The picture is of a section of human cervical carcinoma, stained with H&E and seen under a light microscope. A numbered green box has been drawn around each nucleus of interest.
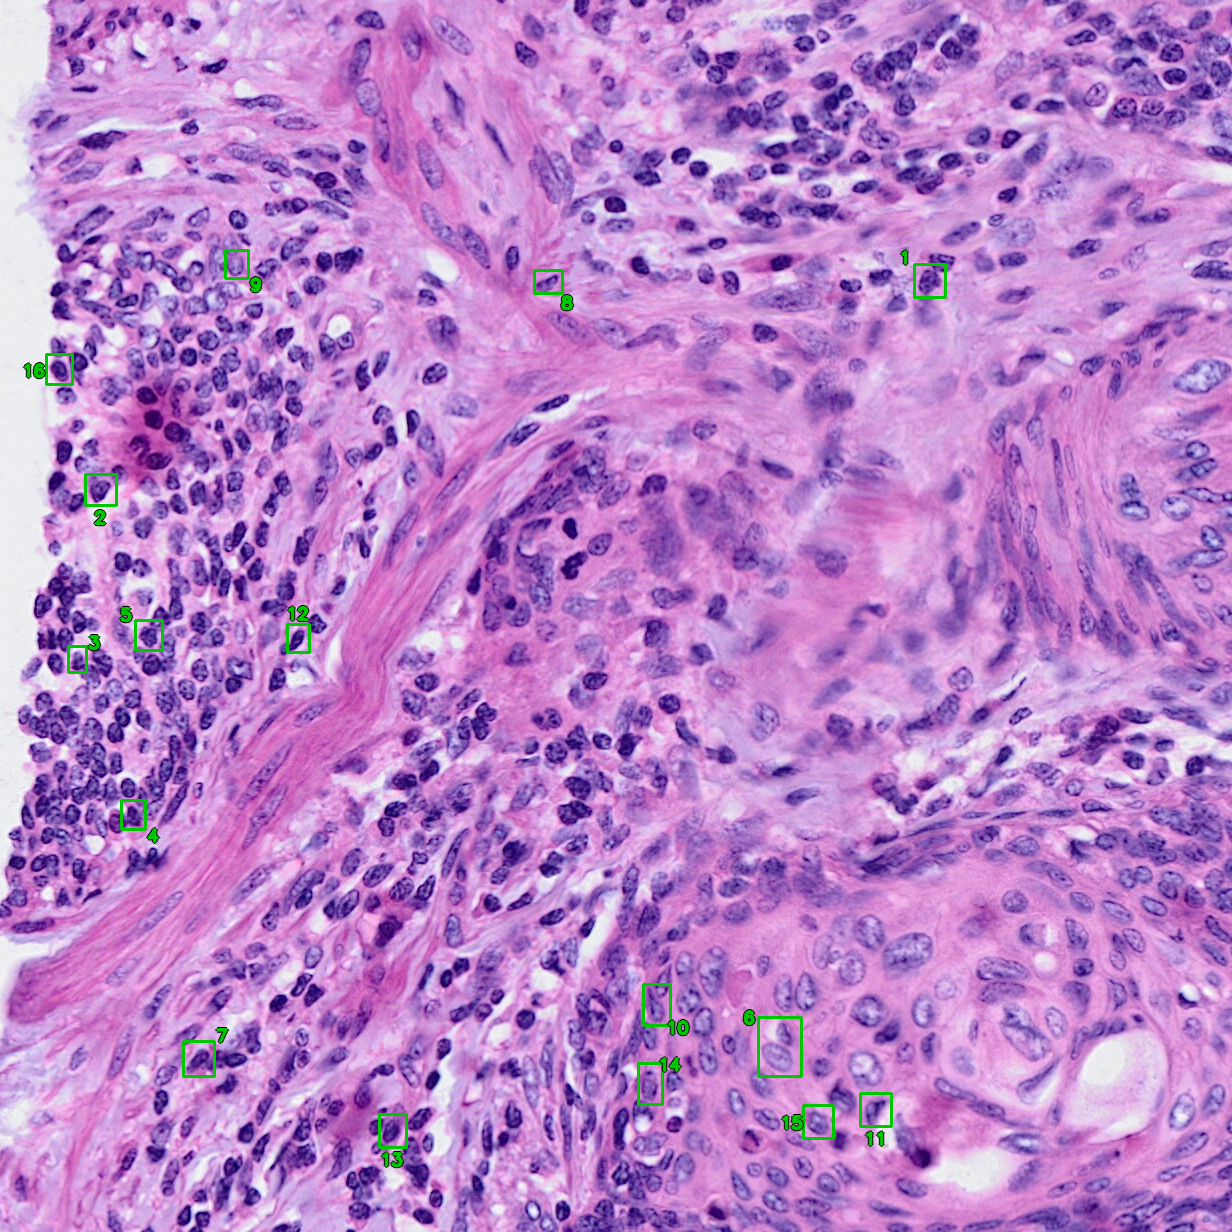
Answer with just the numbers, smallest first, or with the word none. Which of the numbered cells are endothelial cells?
9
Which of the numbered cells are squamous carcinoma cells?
6, 10, 11, 14, 15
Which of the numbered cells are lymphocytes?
1, 2, 3, 4, 5, 7, 12, 13, 16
